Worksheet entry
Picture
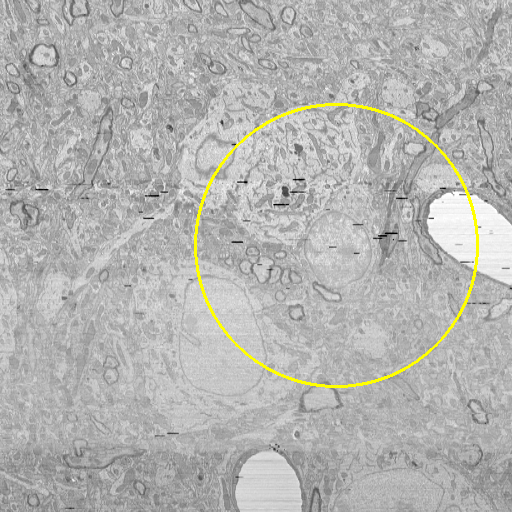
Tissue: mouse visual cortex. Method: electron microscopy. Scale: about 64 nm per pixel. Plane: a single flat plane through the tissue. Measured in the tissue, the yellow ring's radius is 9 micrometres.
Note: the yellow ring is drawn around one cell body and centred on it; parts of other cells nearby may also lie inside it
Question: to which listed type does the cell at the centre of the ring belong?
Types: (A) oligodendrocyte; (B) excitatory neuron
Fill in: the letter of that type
A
